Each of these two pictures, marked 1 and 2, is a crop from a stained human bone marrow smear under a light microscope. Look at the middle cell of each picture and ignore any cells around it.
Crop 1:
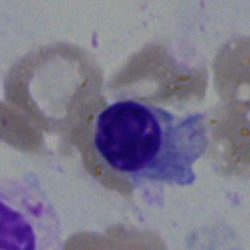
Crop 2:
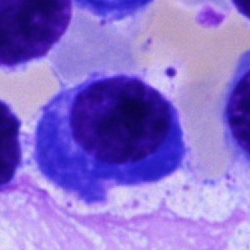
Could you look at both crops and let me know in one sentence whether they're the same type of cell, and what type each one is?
No, crop 1 displays an erythroblast and crop 2 displays a plasma cell.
